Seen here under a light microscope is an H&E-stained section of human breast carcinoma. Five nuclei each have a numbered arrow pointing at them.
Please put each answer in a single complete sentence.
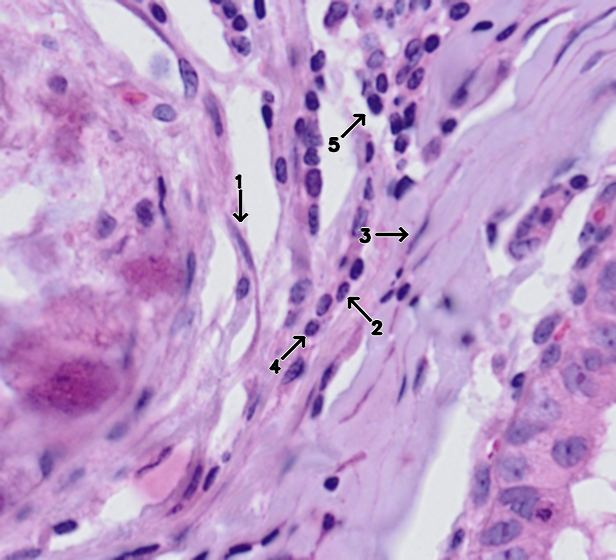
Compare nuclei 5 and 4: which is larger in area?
The larger nucleus is 5, at roughly 1.5 times the area of 4.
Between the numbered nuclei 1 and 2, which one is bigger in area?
At about 2.5 times the area of nucleus 2, nucleus 1 is the larger of the two.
